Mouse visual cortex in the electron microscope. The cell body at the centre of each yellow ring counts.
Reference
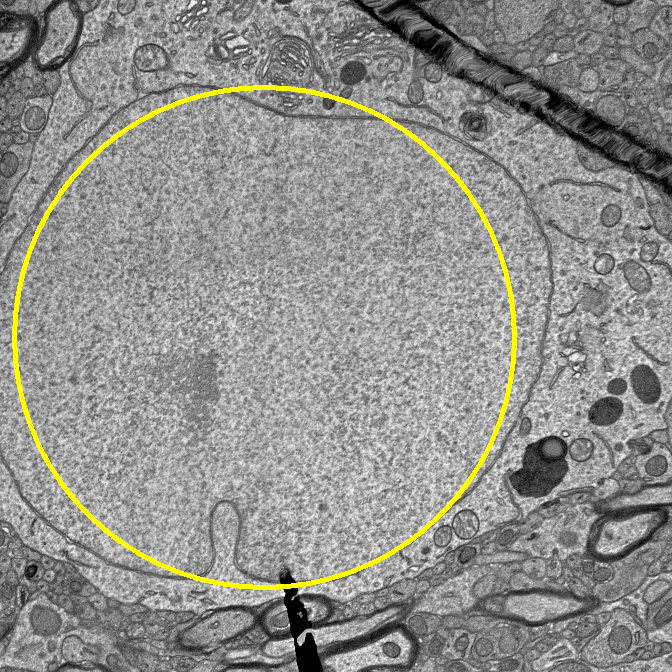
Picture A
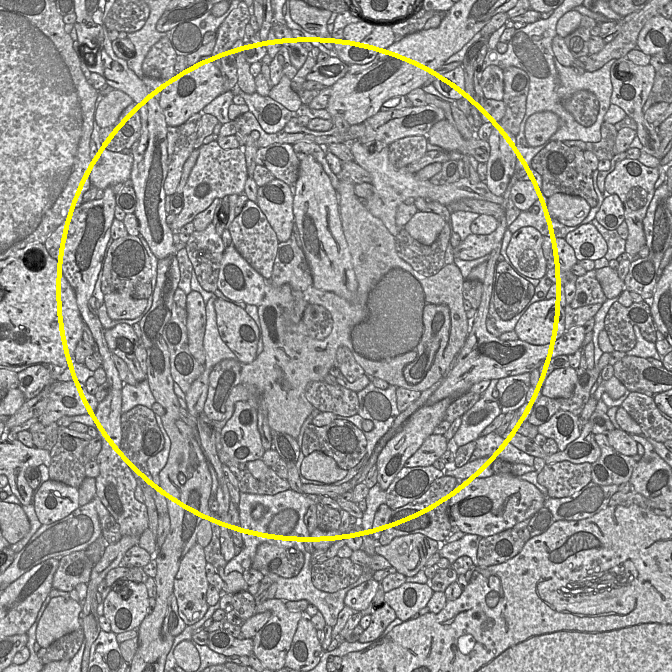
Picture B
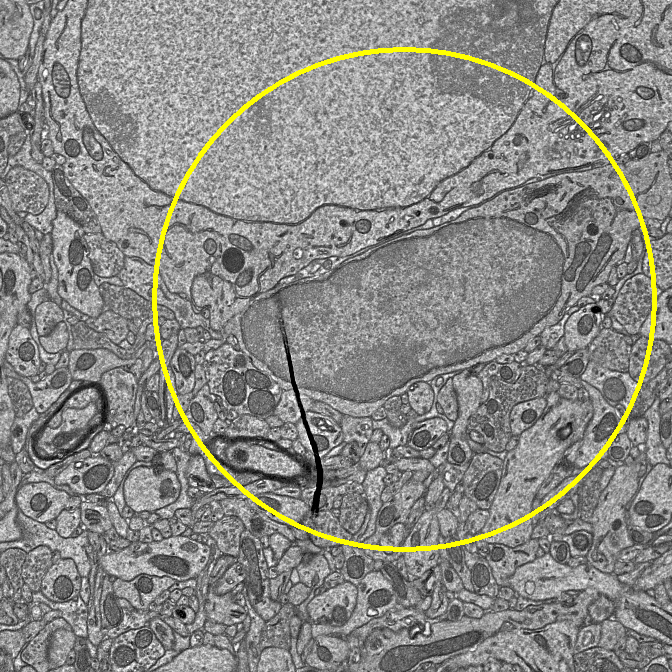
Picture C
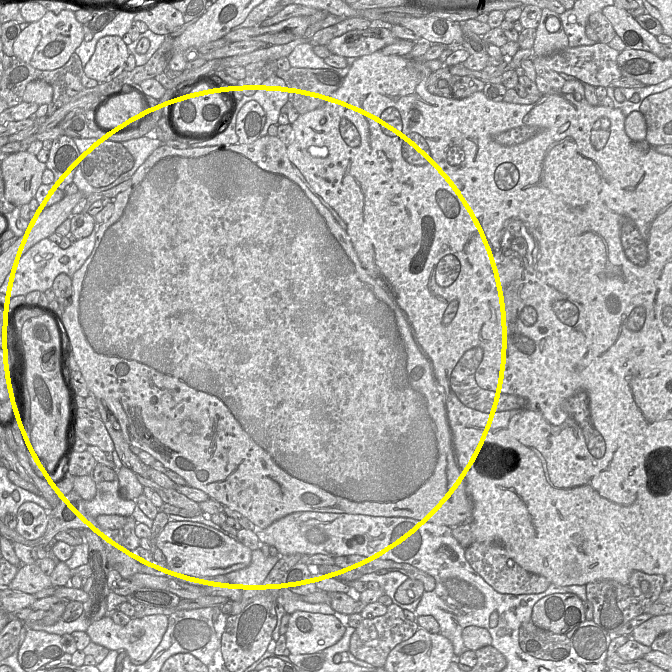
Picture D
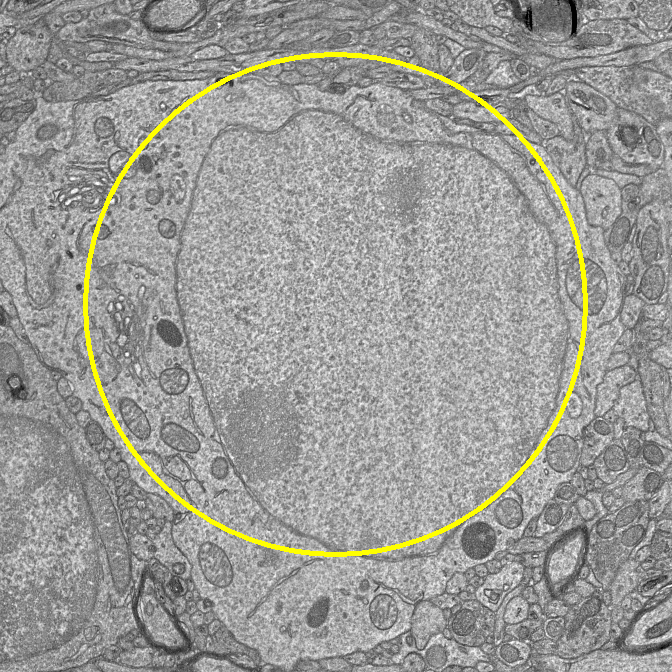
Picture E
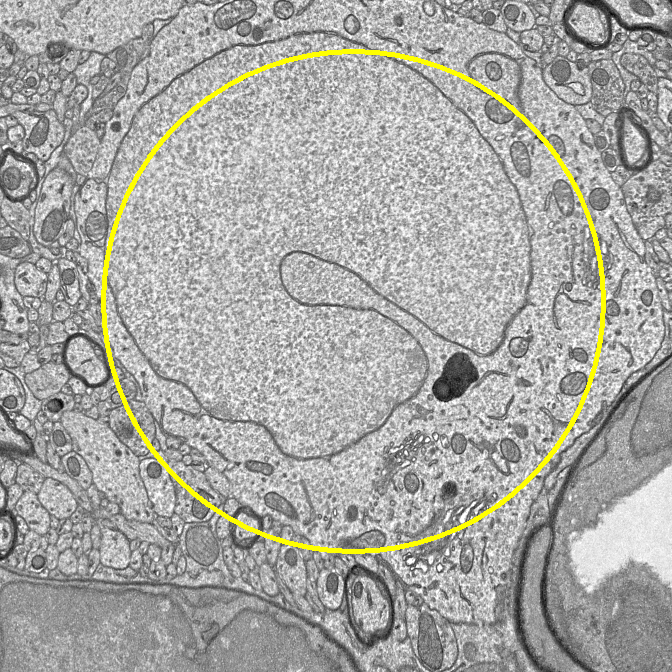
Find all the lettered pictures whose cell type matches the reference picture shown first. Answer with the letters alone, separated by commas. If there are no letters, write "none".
D, E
